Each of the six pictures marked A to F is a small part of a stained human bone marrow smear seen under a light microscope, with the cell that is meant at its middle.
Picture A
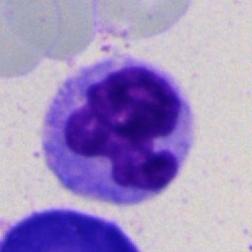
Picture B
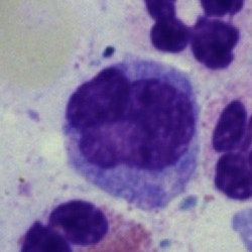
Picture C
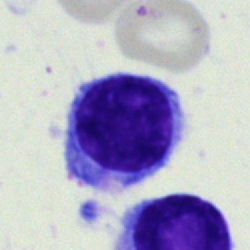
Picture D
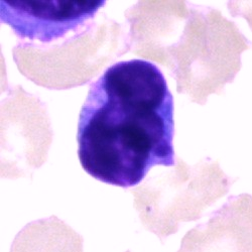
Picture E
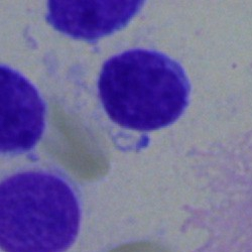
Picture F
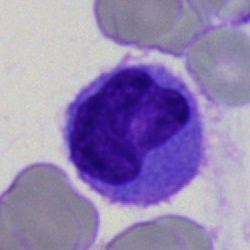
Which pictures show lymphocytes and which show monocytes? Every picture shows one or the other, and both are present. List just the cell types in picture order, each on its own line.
monocyte
monocyte
lymphocyte
lymphocyte
lymphocyte
monocyte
